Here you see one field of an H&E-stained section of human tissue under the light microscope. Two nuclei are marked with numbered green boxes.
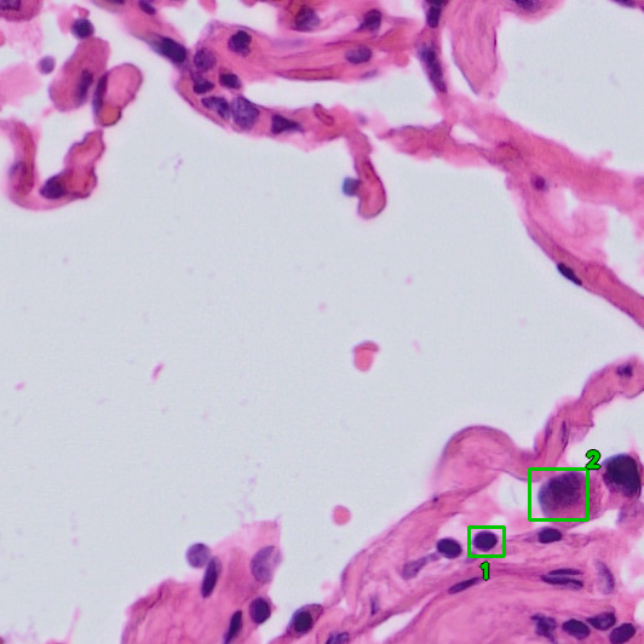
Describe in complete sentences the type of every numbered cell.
Cell 1 is a lymphocyte and cell 2 is a carcinoma cell.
